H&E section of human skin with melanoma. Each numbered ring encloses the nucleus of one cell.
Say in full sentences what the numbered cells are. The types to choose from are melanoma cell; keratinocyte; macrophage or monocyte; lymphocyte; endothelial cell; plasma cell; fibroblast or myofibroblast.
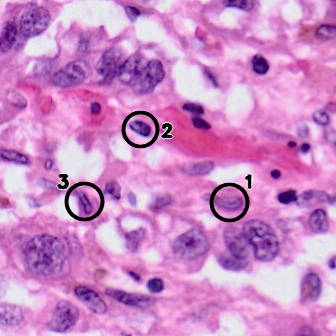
Cells 1 and 3 are macrophages or monocytes. Cell 2 is a lymphocyte.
